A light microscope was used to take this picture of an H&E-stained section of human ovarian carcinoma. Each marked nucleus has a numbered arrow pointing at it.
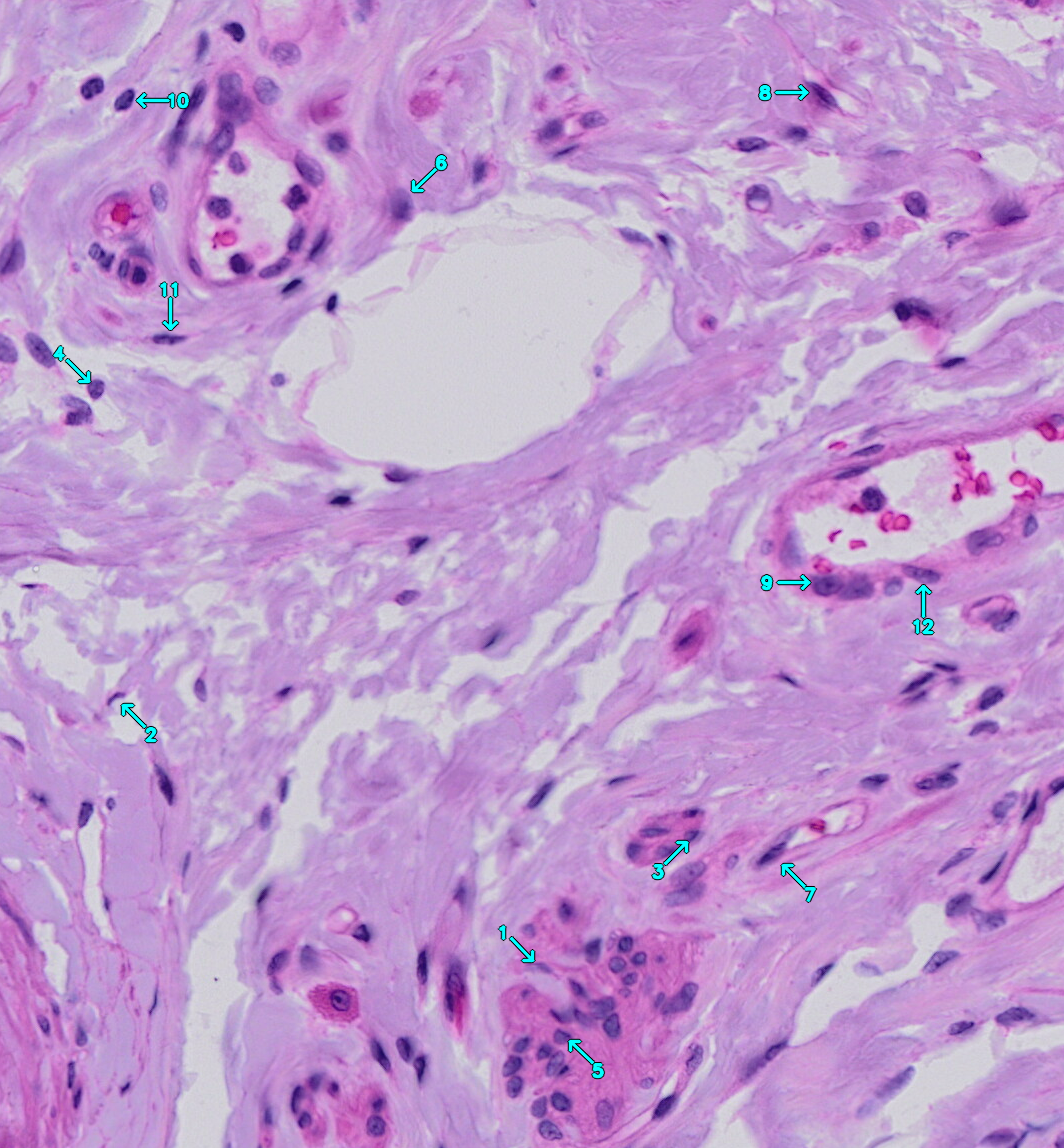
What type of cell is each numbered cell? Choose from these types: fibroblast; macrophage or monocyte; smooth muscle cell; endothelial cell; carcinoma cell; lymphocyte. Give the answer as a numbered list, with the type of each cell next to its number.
1. smooth muscle cell
2. fibroblast
3. smooth muscle cell
4. lymphocyte
5. smooth muscle cell
6. fibroblast
7. endothelial cell
8. endothelial cell
9. endothelial cell
10. lymphocyte
11. fibroblast
12. endothelial cell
